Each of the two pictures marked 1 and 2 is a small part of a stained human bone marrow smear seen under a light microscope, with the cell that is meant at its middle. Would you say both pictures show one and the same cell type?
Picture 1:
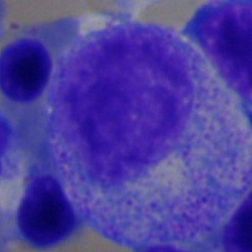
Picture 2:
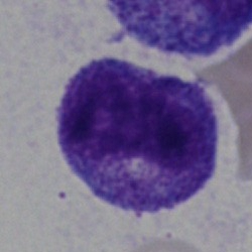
yes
